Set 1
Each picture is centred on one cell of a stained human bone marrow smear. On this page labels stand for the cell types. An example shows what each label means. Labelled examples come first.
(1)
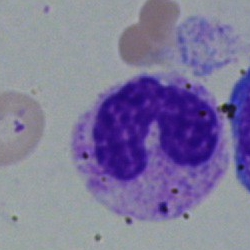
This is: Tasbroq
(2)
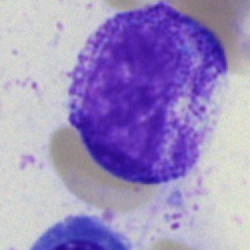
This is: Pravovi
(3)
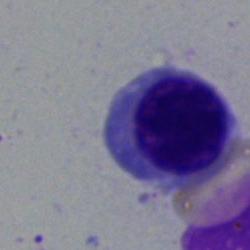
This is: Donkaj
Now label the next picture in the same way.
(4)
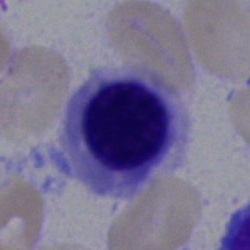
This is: Donkaj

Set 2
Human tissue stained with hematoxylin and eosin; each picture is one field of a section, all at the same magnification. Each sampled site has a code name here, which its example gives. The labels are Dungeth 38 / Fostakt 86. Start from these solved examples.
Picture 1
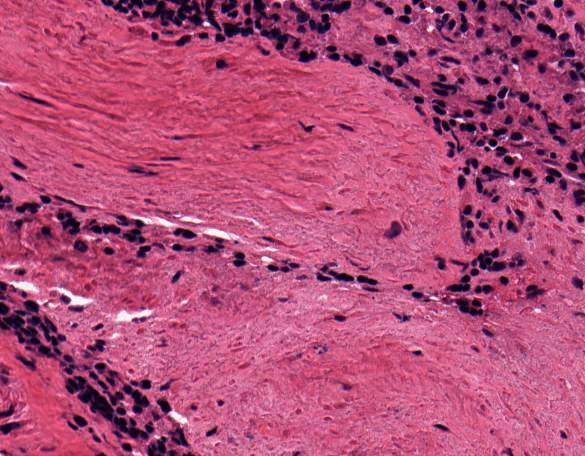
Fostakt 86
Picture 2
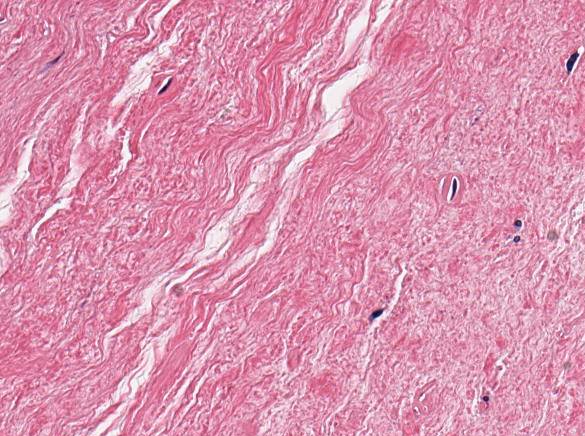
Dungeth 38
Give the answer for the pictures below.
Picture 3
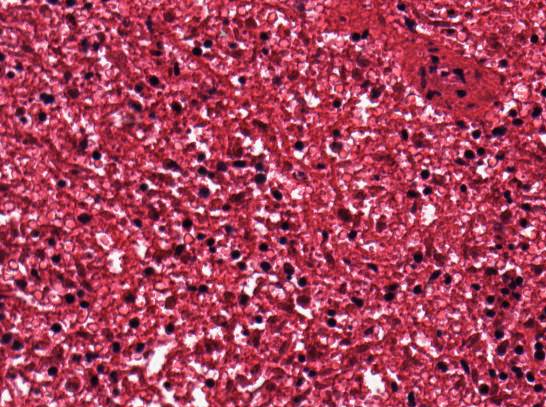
Fostakt 86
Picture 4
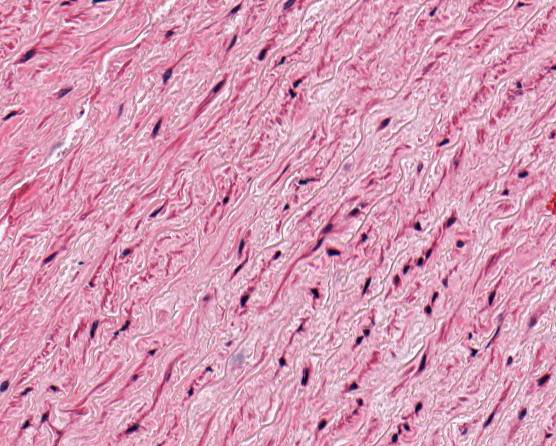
Dungeth 38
